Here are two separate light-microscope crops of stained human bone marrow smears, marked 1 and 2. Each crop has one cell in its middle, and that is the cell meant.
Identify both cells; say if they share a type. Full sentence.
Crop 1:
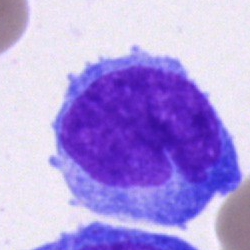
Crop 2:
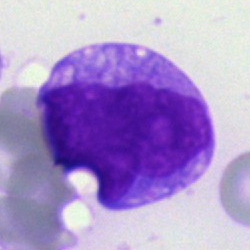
Yes, the two crops show blasts, both of them.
